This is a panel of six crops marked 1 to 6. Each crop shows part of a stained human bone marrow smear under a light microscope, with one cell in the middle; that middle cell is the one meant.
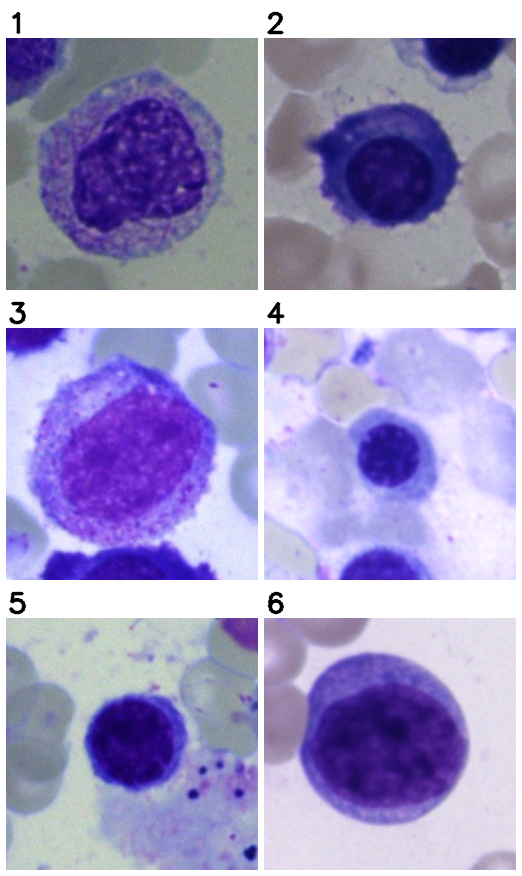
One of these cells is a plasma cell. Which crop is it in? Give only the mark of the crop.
2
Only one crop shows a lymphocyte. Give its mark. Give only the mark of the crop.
5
